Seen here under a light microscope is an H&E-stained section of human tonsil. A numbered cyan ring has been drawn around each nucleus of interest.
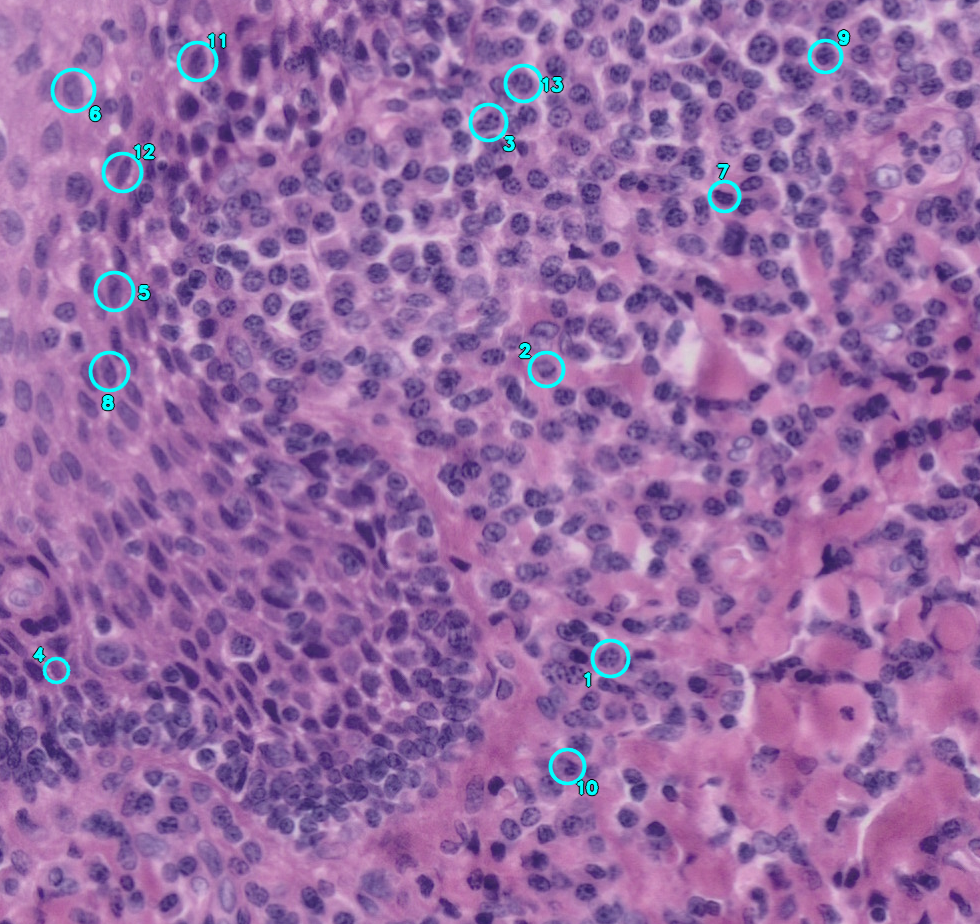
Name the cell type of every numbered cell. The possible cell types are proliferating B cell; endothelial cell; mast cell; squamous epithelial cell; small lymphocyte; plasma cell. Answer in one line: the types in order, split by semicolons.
plasma cell; plasma cell; plasma cell; squamous epithelial cell; squamous epithelial cell; squamous epithelial cell; plasma cell; squamous epithelial cell; plasma cell; plasma cell; squamous epithelial cell; squamous epithelial cell; plasma cell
